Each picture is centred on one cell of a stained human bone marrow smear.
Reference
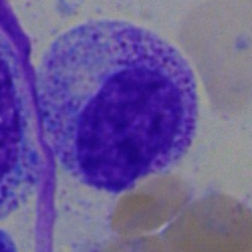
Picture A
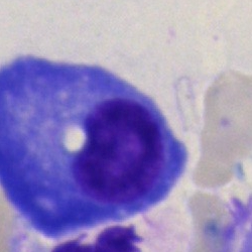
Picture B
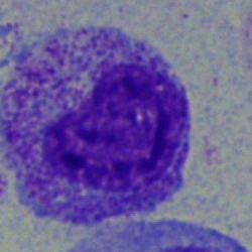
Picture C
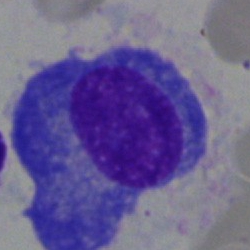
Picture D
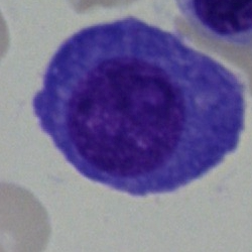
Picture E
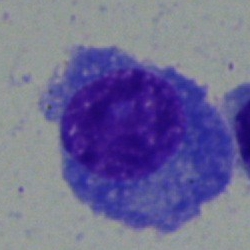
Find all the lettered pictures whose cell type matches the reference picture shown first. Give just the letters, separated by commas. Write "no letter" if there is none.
B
